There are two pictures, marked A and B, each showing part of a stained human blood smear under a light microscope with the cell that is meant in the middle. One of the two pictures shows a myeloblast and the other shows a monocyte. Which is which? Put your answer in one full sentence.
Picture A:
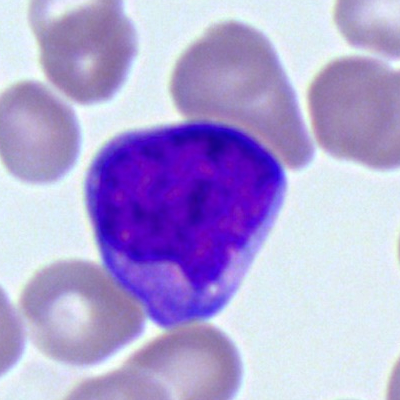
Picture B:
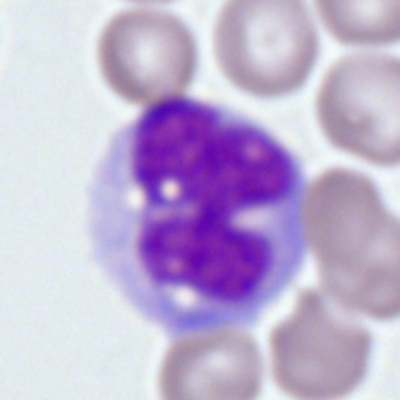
In picture A the cell is a myeloblast; in picture B, a monocyte.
